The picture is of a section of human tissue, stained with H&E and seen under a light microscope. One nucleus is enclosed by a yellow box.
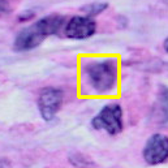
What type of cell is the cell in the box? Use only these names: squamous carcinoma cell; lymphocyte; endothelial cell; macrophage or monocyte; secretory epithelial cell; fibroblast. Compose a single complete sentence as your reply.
Cytologically, the cell in the box is to be regarded as a macrophage or monocyte.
